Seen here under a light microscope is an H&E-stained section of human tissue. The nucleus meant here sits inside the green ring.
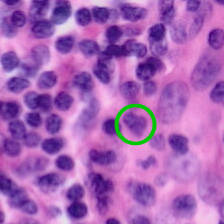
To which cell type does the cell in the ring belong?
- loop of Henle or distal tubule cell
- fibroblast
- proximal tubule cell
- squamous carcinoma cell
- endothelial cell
endothelial cell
